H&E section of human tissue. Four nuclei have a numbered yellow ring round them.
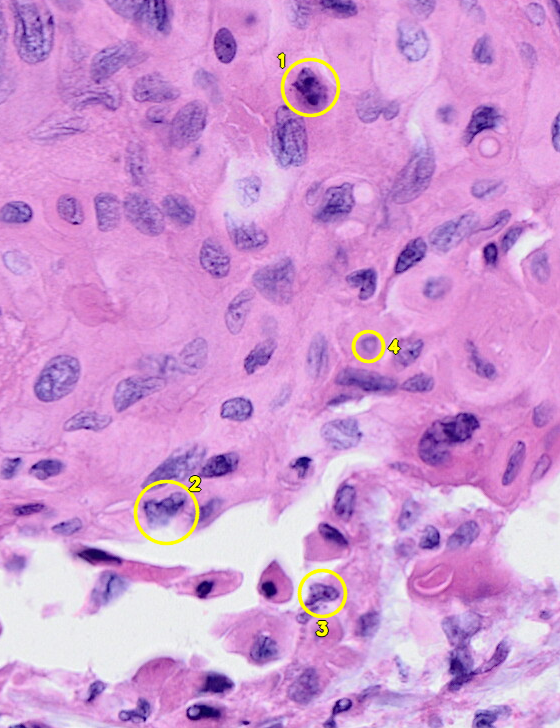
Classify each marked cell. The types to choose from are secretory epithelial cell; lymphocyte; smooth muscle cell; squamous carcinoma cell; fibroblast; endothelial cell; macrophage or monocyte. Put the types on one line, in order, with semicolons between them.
squamous carcinoma cell; squamous carcinoma cell; macrophage or monocyte; squamous carcinoma cell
